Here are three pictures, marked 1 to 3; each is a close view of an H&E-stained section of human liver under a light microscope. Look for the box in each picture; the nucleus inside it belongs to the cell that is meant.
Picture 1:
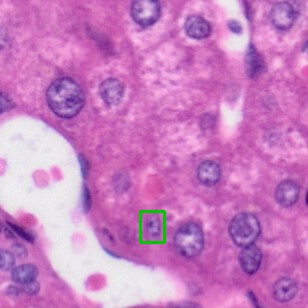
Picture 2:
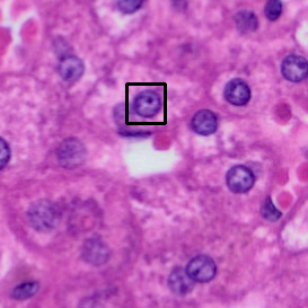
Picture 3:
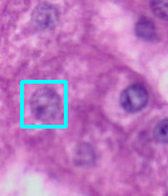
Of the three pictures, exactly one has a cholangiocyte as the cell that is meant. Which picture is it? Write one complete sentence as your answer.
The cholangiocyte is the one in picture 1.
